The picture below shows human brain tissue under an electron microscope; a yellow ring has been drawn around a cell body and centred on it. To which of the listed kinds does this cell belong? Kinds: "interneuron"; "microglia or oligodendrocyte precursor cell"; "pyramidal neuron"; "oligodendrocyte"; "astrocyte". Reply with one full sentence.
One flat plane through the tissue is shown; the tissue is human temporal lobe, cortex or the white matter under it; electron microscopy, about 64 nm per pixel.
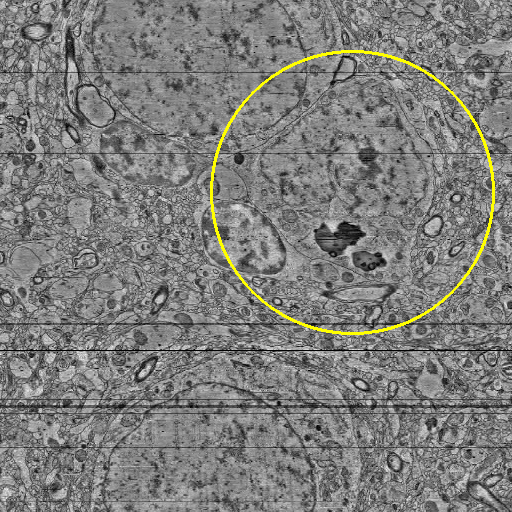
It is an interneuron that the yellow ring in the picture is centred on.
